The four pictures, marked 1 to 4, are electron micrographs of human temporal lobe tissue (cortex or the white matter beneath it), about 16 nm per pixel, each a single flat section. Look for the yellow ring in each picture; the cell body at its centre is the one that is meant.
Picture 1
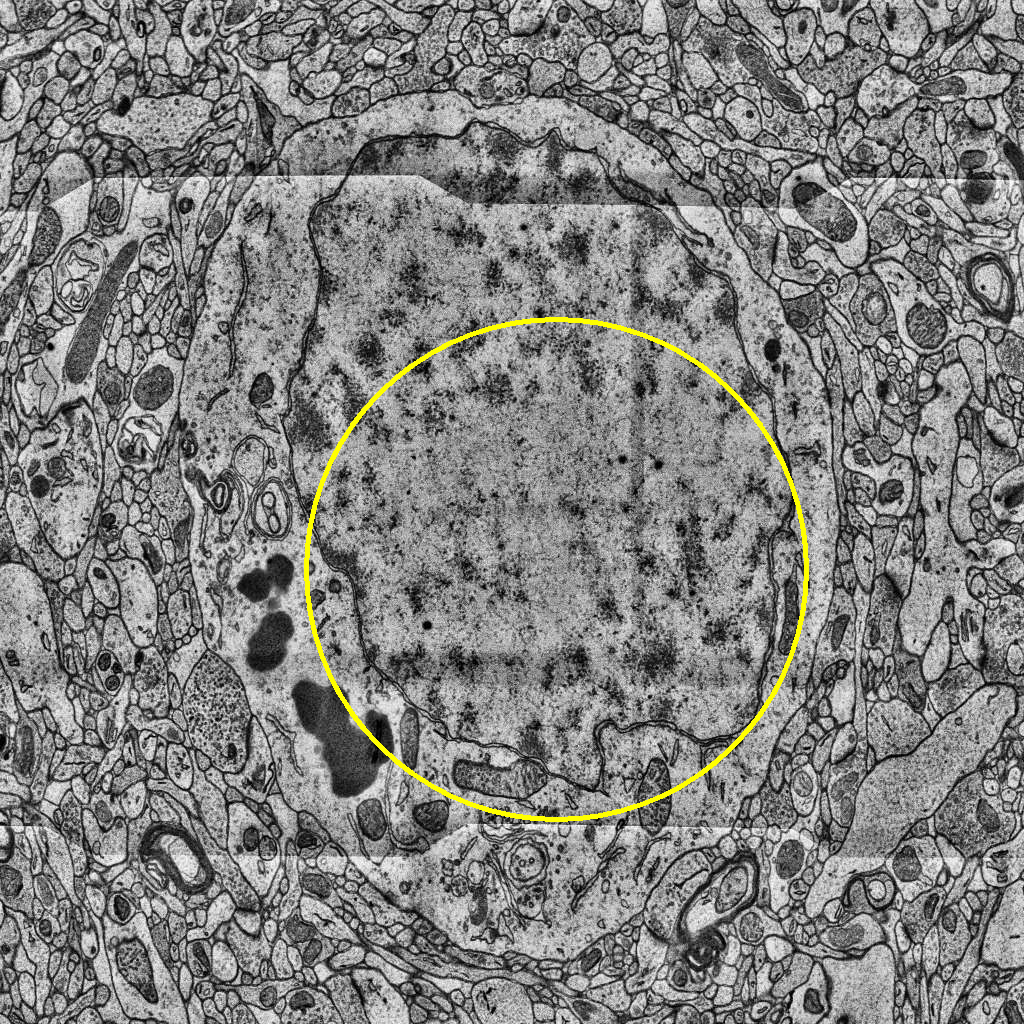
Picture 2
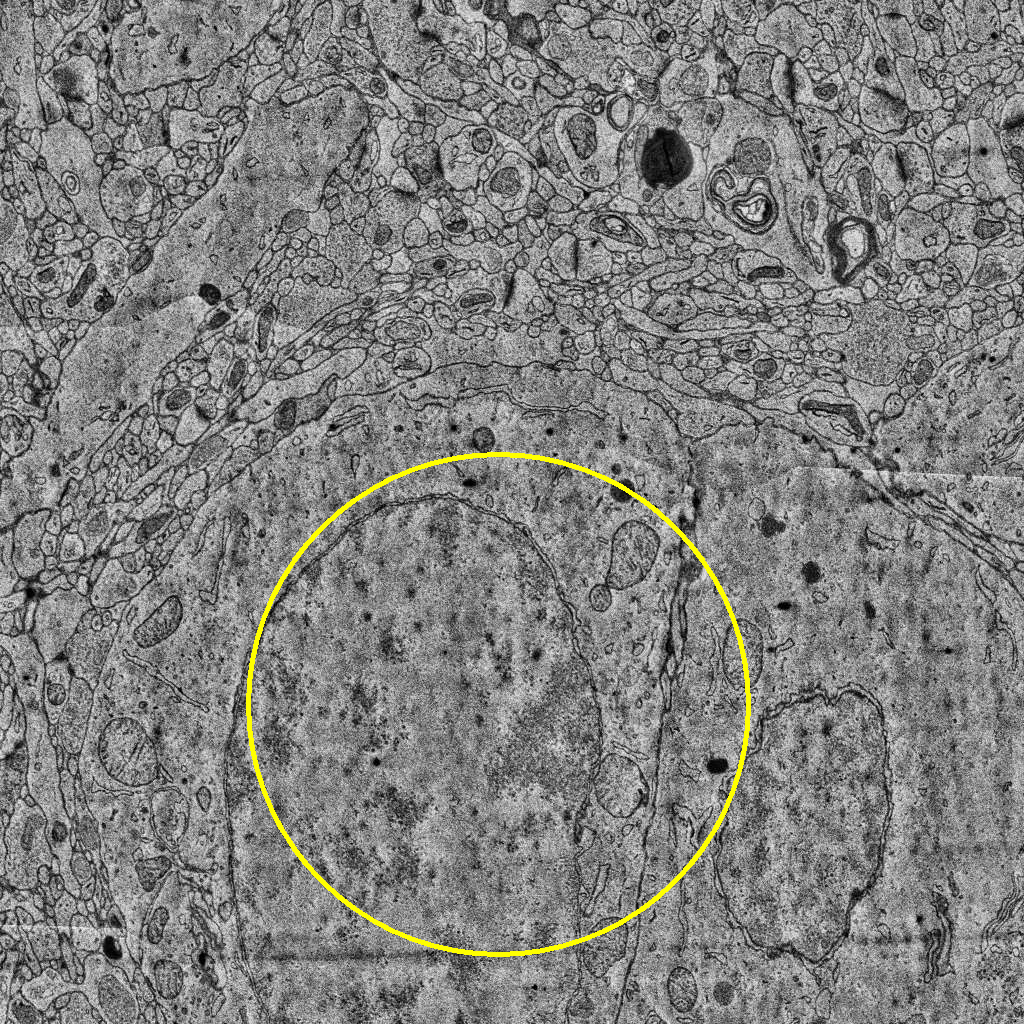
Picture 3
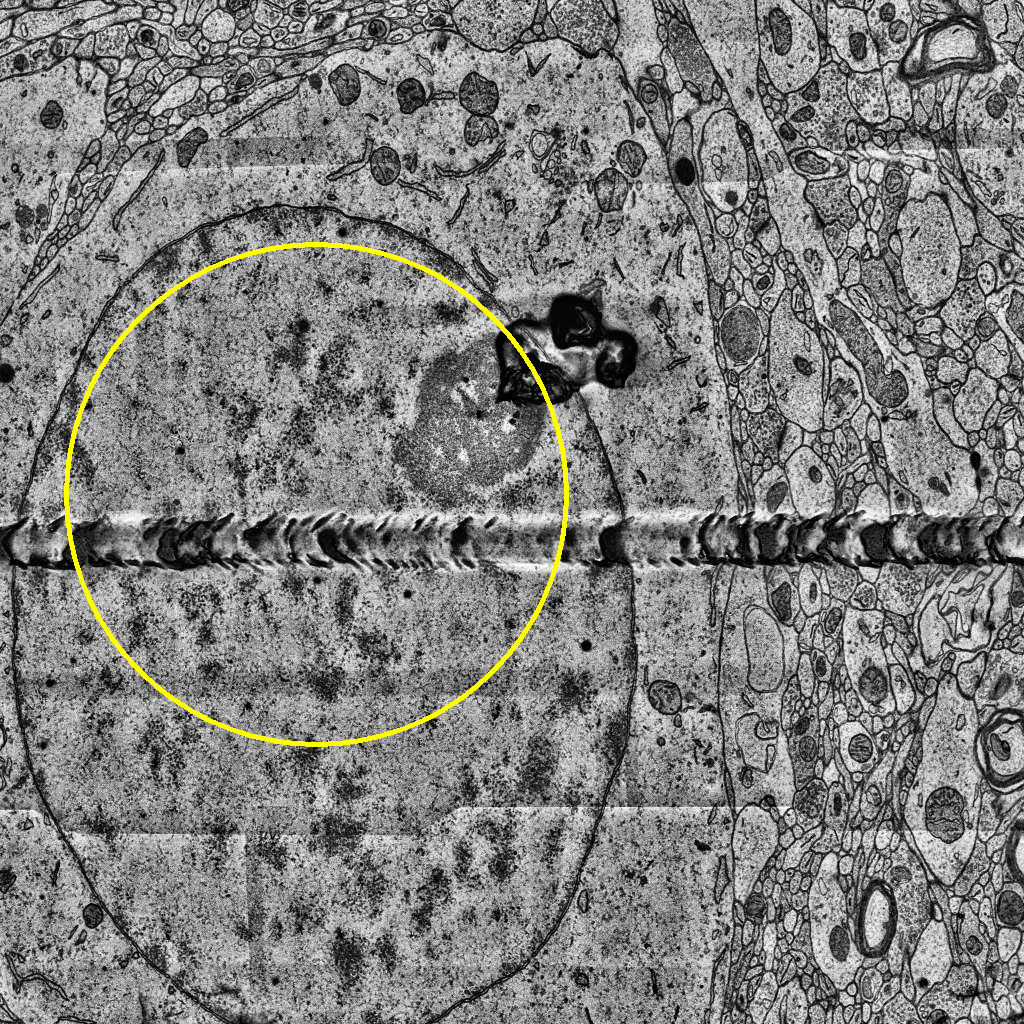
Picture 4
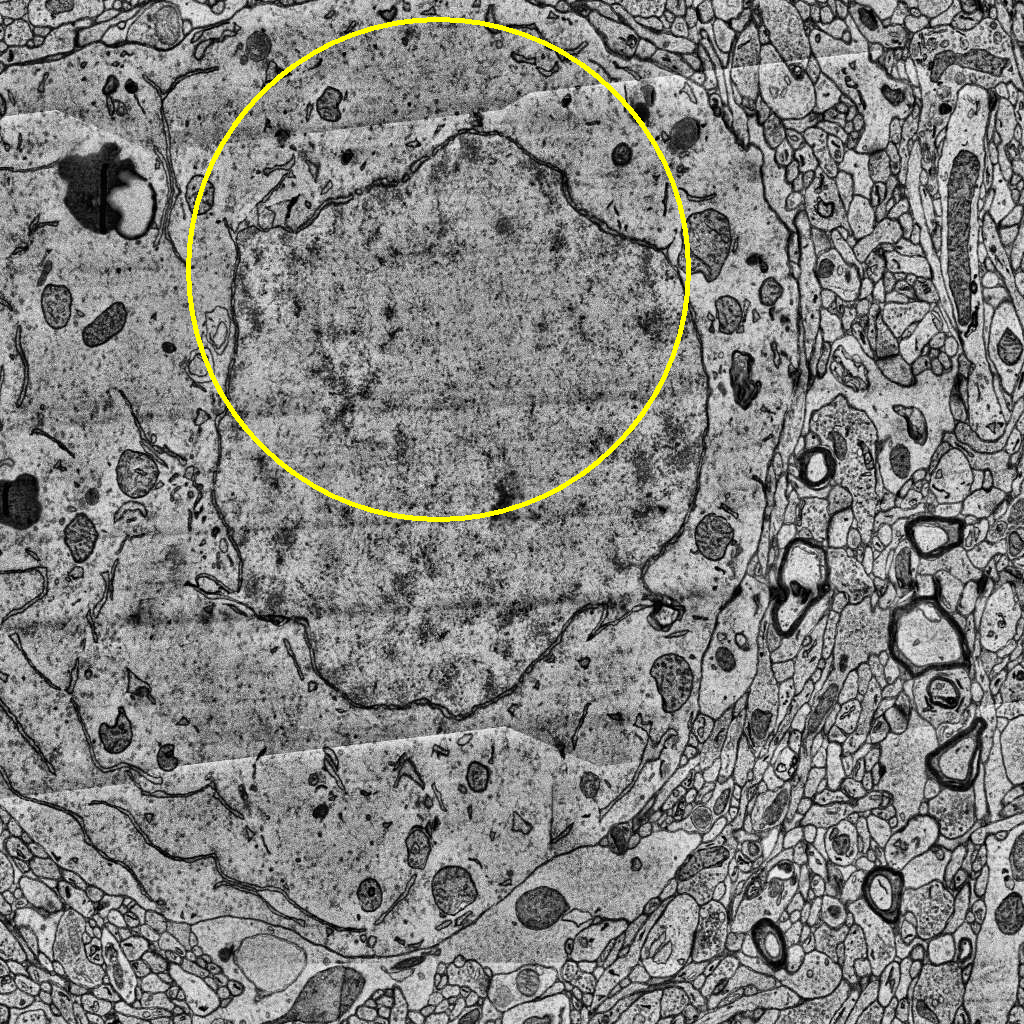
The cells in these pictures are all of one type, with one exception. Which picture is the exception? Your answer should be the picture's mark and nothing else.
1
